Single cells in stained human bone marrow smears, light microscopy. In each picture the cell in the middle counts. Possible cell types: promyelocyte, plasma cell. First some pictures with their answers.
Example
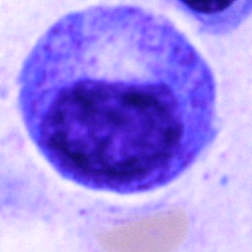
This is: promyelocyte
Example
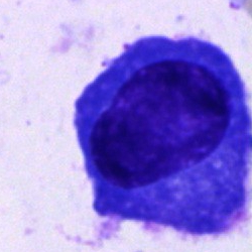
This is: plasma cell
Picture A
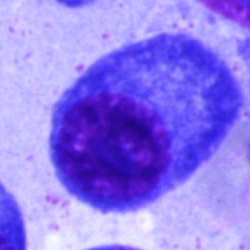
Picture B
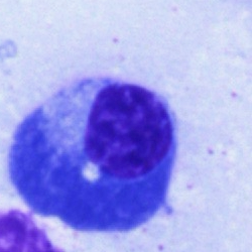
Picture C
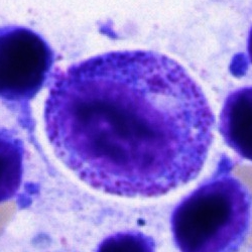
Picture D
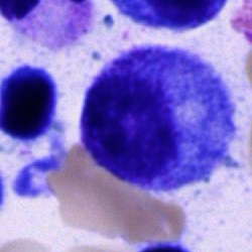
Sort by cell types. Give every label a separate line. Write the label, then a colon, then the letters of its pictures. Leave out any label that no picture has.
promyelocyte: C, D
plasma cell: A, B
